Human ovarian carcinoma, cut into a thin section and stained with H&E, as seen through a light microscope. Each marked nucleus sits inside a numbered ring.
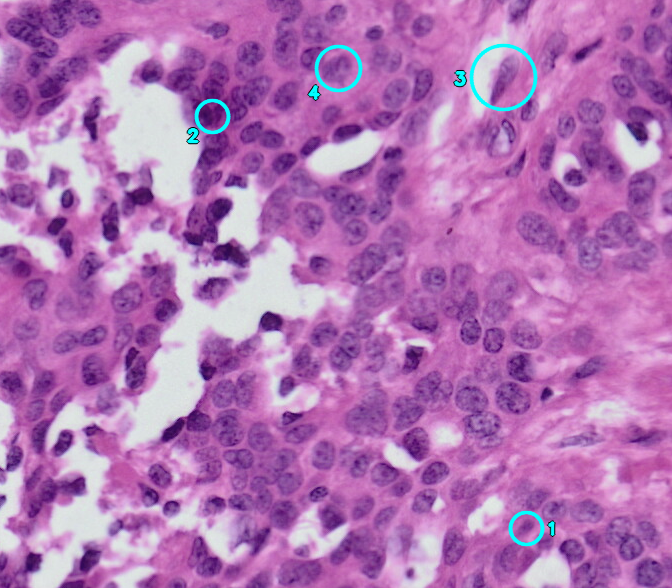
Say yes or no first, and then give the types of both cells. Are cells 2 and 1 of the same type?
Yes, cell 2 is counted among the carcinoma cells, as is cell 1.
